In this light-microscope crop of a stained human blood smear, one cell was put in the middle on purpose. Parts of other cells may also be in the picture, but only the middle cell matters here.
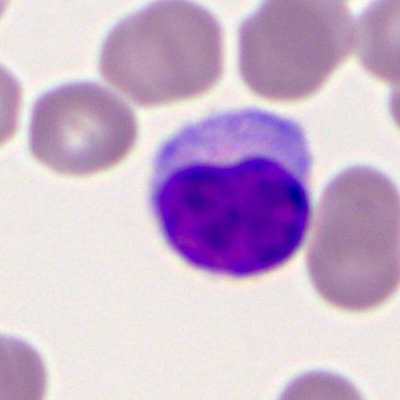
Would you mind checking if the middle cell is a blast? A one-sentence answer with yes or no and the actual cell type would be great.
No, the middle cell is classified as a lymphocyte and not as a blast.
